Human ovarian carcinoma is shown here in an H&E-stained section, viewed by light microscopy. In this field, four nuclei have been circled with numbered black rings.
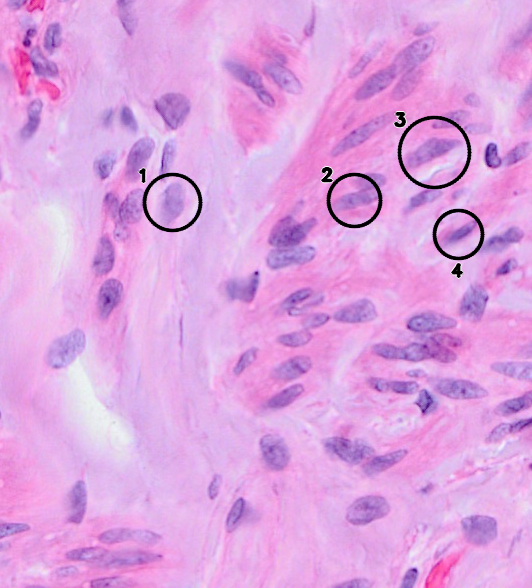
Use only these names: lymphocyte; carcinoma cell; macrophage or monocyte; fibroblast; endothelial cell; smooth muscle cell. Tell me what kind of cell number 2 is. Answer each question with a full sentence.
What the number 2 marks in this field is a smooth muscle cell.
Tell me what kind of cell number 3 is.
Cell 3, as marked in the section, is a smooth muscle cell.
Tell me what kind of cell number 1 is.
Cell 1 in the field of view is a fibroblast.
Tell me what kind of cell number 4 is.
The marked cell with the number 4 is recognised as a smooth muscle cell.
